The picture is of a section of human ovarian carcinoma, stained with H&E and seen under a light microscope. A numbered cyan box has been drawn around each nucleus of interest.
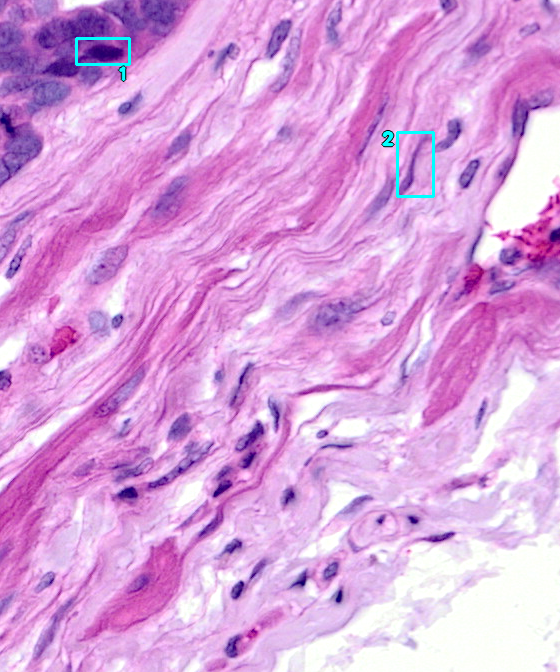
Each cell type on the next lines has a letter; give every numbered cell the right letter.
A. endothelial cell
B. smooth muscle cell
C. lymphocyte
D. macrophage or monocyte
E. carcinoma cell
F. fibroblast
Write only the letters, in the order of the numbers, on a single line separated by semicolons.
E; F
